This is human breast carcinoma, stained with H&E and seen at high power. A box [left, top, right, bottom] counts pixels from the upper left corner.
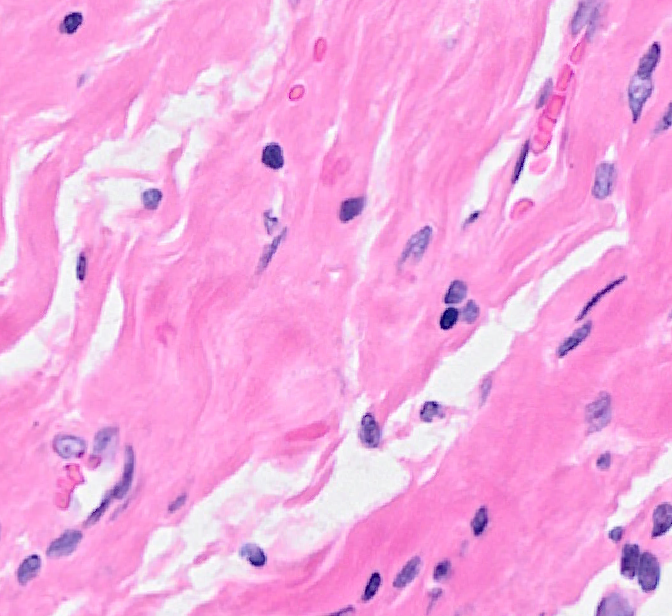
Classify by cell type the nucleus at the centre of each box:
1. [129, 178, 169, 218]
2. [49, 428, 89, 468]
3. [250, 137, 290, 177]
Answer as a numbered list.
1. lymphocyte
2. endothelial cell
3. lymphocyte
